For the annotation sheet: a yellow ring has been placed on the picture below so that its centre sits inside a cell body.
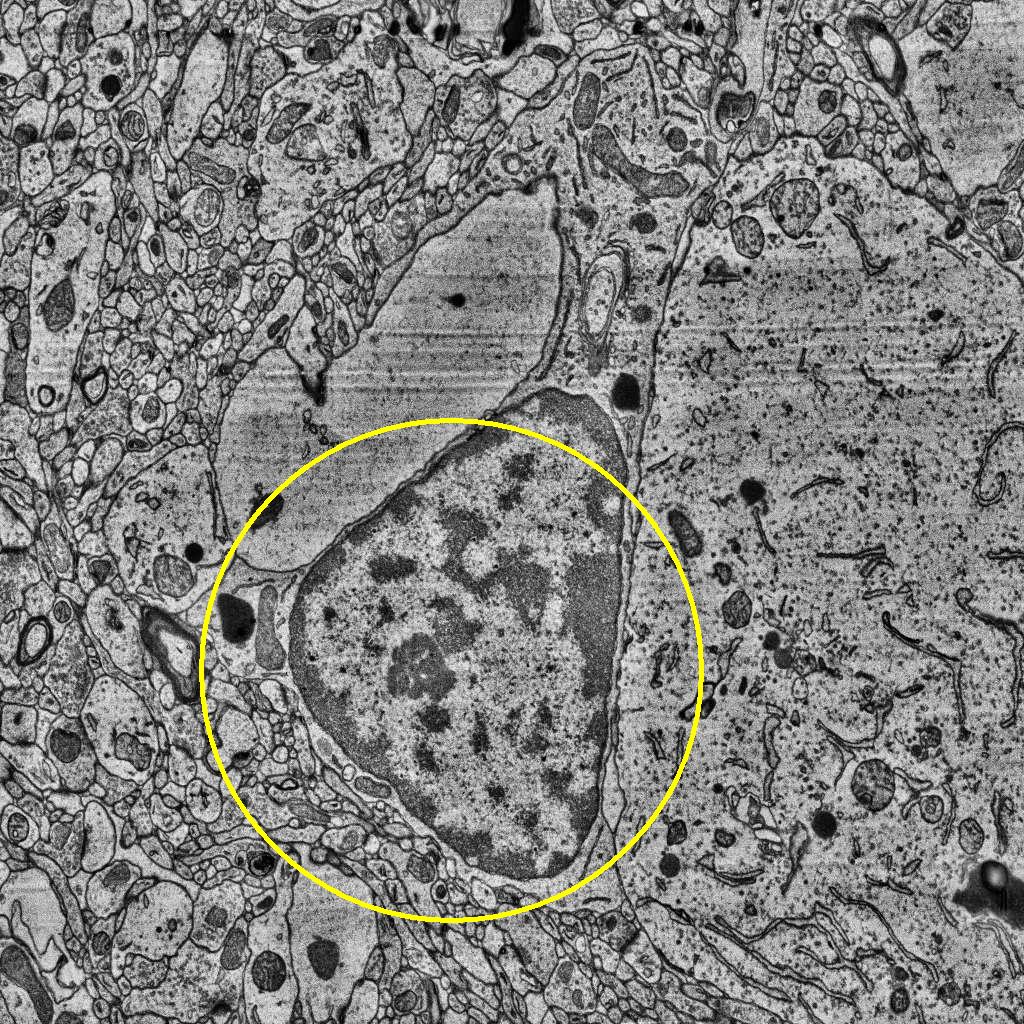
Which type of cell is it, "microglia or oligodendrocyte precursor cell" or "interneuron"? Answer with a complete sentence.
The cell at the ring's centre is a microglial cell or oligodendrocyte precursor cell.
